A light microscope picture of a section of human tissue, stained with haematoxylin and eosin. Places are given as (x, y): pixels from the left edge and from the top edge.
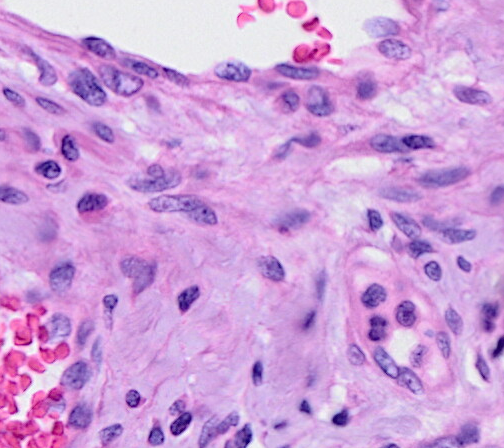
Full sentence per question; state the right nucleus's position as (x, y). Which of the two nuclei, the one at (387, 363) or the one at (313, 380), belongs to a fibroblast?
The cell to which the nucleus at (313, 380) belongs is a fibroblast.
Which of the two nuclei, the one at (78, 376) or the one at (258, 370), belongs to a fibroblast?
The cell to which the nucleus at (258, 370) belongs is a fibroblast.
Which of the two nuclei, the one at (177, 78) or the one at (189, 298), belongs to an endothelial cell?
As for which of the two, the nucleus at (177, 78) belongs to an endothelial cell.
